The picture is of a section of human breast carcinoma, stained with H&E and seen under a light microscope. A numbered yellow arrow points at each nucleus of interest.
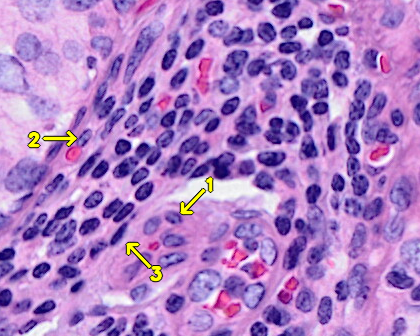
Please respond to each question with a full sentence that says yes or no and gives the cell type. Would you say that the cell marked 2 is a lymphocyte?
No, cell 2 is not a lymphocyte: it is an endothelial cell.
